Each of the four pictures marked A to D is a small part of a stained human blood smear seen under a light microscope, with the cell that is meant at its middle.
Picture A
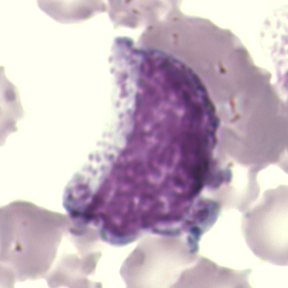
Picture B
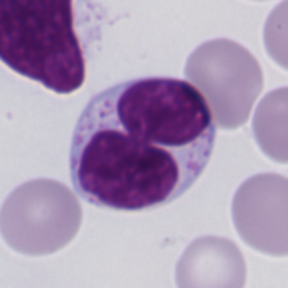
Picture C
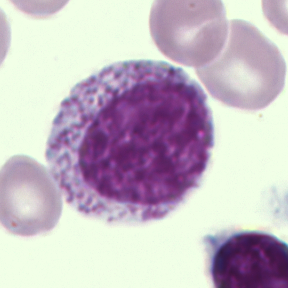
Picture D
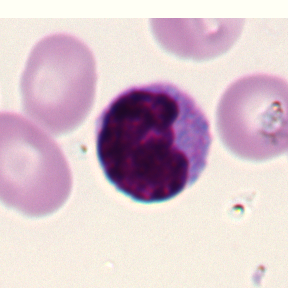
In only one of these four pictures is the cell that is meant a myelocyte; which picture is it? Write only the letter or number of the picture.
C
